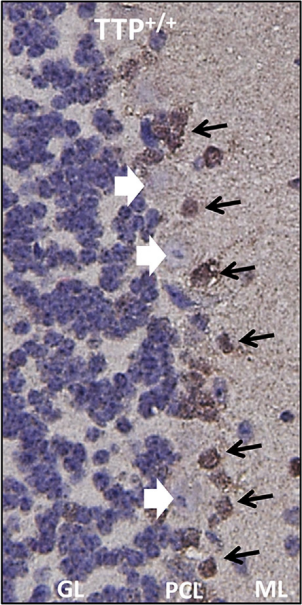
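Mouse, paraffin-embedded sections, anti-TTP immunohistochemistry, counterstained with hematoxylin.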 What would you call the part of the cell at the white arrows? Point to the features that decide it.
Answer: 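Smaller brown-stained cells lie close beside them, toward the pale layer.
Hence: Purkinje neuron soma.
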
